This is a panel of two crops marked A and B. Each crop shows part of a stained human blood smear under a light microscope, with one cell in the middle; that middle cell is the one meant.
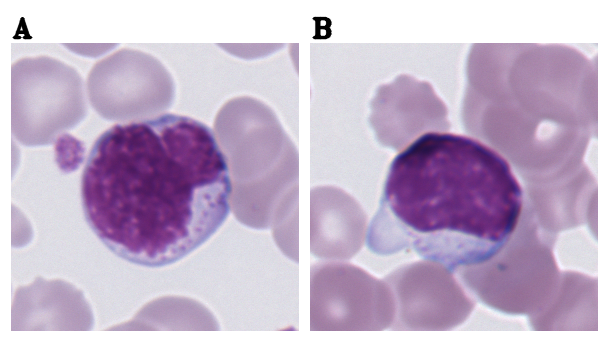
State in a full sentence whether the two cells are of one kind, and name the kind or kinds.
Yes, both crops show a cell each, and these are large granular lymphocytes.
